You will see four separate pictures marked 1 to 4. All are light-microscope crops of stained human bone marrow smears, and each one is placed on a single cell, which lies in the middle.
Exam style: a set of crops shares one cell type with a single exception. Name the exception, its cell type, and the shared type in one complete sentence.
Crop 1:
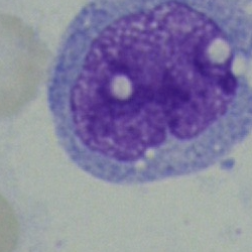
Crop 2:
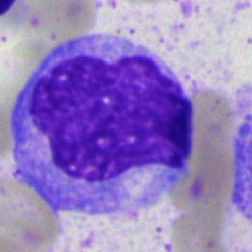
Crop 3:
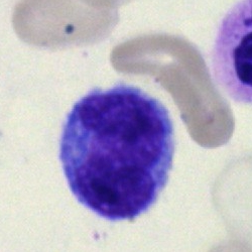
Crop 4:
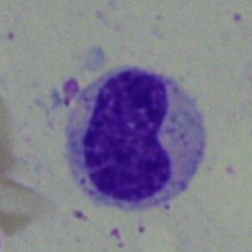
Identified in crop 4 is a metamyelocyte, whereas the other crops all show monocytes.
